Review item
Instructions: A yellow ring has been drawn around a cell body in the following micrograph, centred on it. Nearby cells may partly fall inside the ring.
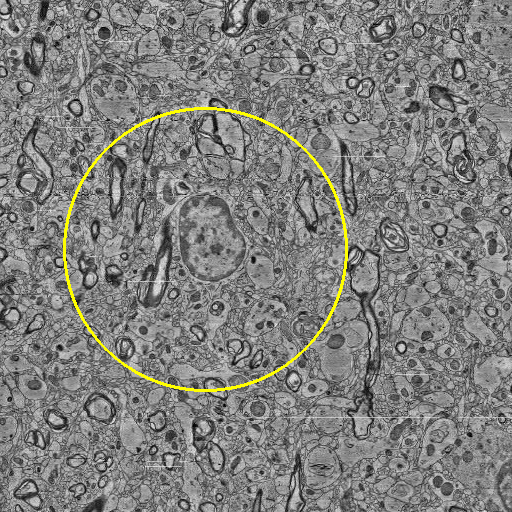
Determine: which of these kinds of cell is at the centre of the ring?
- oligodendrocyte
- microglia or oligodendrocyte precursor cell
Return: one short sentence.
The cell body in the middle of the ring is that of a microglial cell or oligodendrocyte precursor cell.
